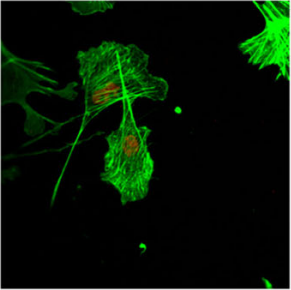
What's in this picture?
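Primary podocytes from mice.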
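Two or three flattened, irregular cells are seen, each with a red oval nucleus. Bright green straight fibres cross the cell bodies in roughly parallel bundles, and thinner green strands reach out as long slender processes from the cell margins.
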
